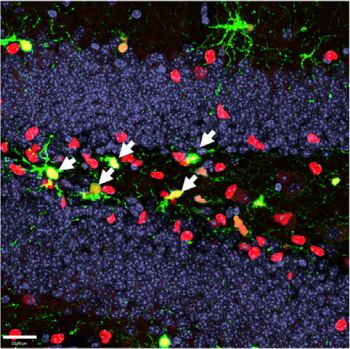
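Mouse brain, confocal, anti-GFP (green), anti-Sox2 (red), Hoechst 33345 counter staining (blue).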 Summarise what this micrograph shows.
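Dentate gyrus of the hippocampus, with two bands of tightly packed small blue nuclei separated by a narrower, less crowded zone. Red nuclei are scattered through and along the bands, and green cells with fine branching processes lie mainly in the zone between them, several with nuclei that appear yellow where green and red overlap.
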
